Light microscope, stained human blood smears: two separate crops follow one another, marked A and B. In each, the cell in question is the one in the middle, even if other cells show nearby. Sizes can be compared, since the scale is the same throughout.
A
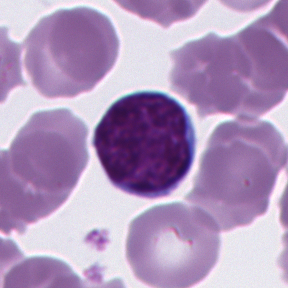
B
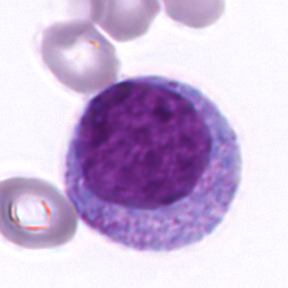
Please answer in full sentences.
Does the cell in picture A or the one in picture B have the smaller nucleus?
Smaller is the nucleus in picture A, and the other is about 2 times as large in area.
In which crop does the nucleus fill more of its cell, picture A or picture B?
The nucleus fills more of the cell in picture A than in picture B.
